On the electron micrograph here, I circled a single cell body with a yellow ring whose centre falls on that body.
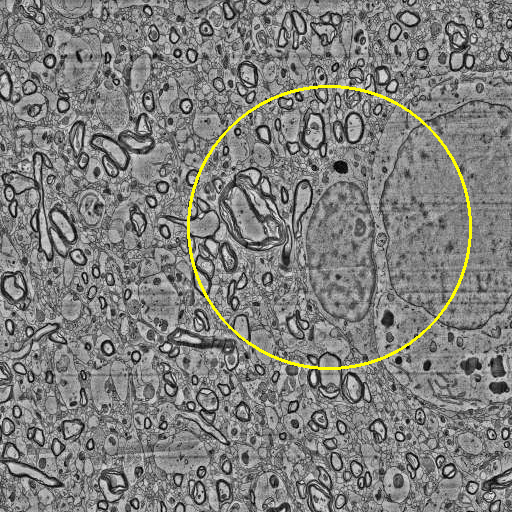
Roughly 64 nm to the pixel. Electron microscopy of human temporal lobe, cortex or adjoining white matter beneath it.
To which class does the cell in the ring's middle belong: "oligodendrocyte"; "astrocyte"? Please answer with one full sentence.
In this picture, the cell body circled at the ring's centre belongs to an oligodendrocyte.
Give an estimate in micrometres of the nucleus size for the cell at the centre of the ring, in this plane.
About 9 by 4 micrometers in this plane, so the nucleus is clearly longer than it is wide.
